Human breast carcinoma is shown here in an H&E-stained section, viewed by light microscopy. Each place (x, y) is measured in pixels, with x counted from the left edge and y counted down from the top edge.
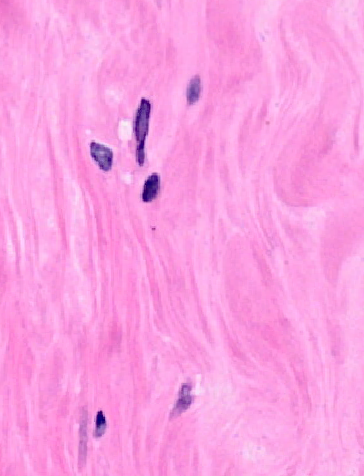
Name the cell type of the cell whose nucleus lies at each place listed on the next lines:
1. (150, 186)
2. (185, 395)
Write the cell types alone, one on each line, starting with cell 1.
lymphocyte
fibroblast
